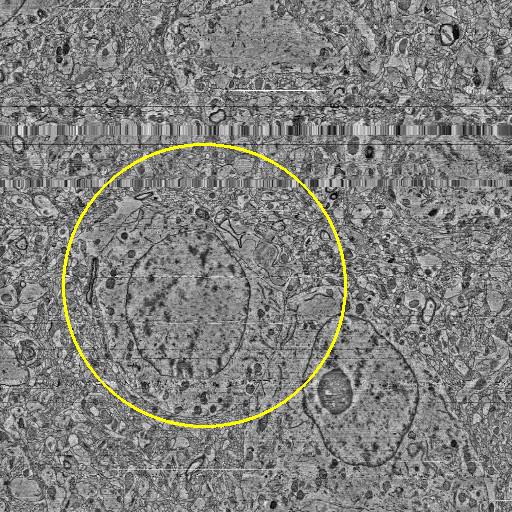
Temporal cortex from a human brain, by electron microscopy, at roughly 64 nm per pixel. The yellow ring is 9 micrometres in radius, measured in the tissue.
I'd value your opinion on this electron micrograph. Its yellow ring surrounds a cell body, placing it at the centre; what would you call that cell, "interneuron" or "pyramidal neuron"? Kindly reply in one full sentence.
It is a pyramidal neuron that sits centred within the yellow ring in this micrograph.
